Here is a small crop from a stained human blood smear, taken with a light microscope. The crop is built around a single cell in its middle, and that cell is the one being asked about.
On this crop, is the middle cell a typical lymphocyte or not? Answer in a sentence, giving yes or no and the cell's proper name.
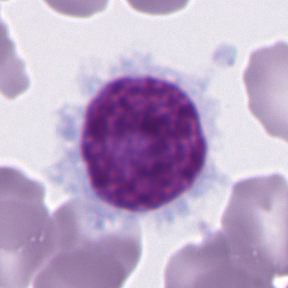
No, the cell at the centre of the crop is a hairy cell and not a typical lymphocyte.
